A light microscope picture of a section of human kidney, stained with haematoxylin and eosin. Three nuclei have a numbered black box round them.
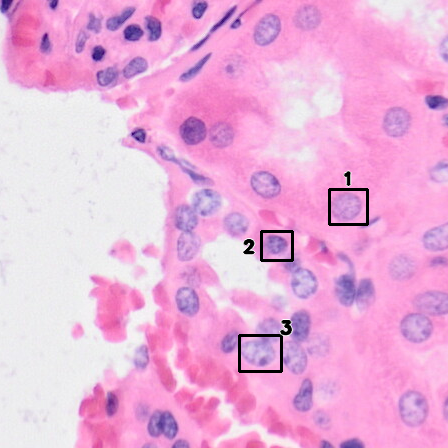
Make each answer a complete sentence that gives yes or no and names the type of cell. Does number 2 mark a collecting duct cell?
Yes, the cell indicated by number 2 is a collecting duct cell.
